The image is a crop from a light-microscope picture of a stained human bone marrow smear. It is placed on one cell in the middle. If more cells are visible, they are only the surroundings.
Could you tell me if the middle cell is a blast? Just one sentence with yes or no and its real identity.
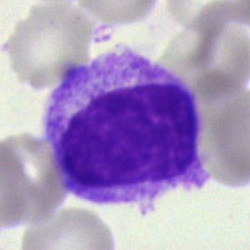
No, it is a myelocyte and not a blast that occupies the middle of the crop.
